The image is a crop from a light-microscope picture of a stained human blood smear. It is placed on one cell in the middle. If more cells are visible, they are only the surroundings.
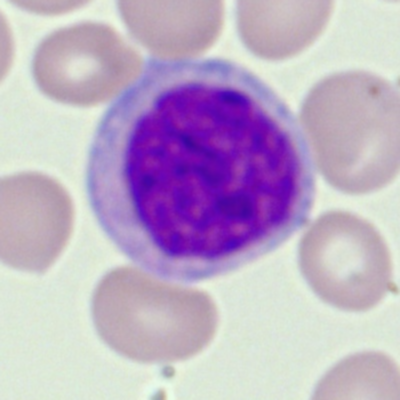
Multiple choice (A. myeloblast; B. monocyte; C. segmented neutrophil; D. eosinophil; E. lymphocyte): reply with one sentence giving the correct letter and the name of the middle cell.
Option B is correct in naming the middle cell a monocyte.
